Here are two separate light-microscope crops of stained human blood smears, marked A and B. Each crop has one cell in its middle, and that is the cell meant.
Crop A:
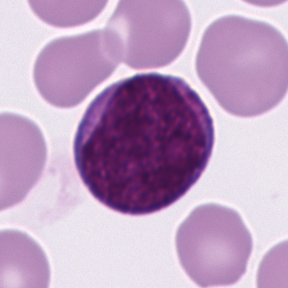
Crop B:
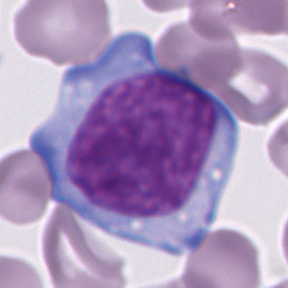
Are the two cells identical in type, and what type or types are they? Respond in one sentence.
Yes, myeloblasts are seen in both crops.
